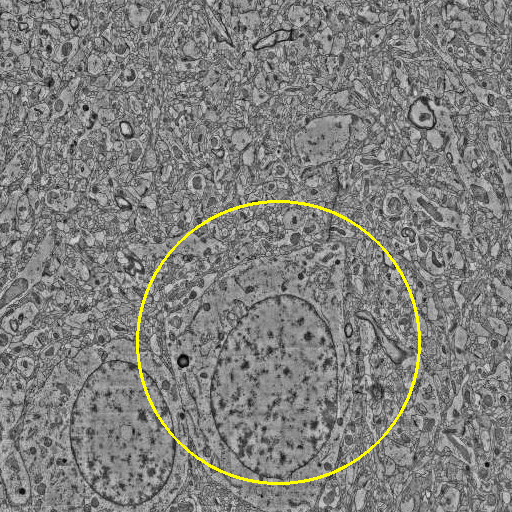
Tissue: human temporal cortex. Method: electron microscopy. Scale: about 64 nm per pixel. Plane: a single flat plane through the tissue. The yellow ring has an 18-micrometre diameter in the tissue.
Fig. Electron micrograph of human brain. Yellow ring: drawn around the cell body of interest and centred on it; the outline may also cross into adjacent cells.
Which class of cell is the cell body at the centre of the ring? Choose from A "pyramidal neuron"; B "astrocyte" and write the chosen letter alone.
A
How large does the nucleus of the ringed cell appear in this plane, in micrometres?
The nucleus measures about 12 by 8 micrometres in this plane.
